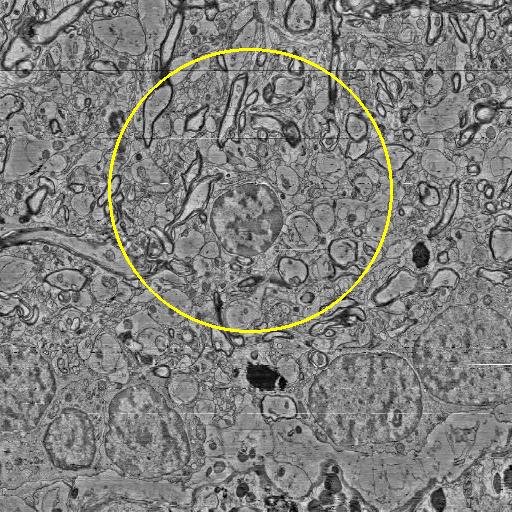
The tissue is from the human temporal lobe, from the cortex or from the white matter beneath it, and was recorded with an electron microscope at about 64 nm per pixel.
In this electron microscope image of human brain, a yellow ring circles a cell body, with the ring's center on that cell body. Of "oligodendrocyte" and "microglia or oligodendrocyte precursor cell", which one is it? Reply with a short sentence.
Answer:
It is a microglial cell or oligodendrocyte precursor cell at the center of the ring.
